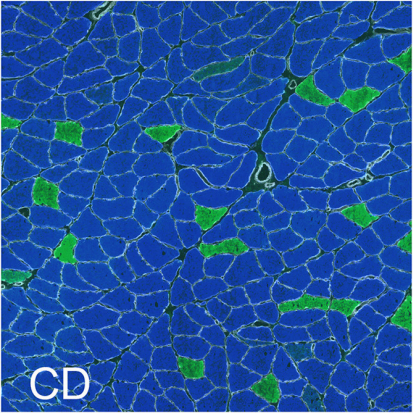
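This is a cross section of skeletal muscle. It shows many tightly packed, polygonal muscle fibers, each outlined by a thin pale border. Most fibers are filled with blue, and scattered single fibers are green. Narrow dark strands of connective tissue run between groups of fibers and hold a few small round vessels.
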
